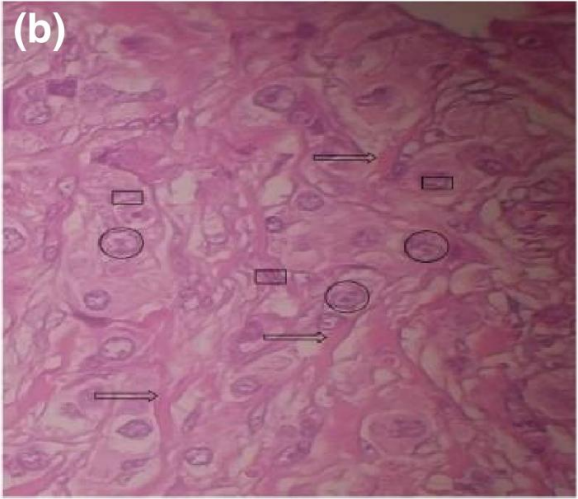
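This is tumour tissue at high magnification, made up mostly of large tumour cells with smaller cells scattered among them. The tumour cells are big and polygonal, with round to oval nuclei that have a clear outline and visible nucleoli. Their cytoplasm is pale and in many places looks clear or vacuolated. Small cells lie here and there between the large ones.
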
